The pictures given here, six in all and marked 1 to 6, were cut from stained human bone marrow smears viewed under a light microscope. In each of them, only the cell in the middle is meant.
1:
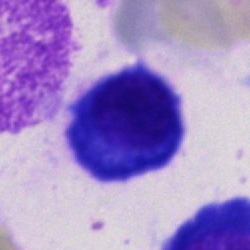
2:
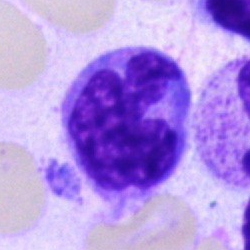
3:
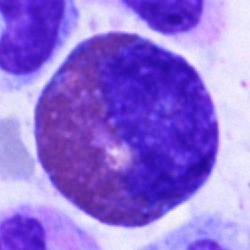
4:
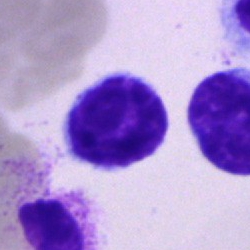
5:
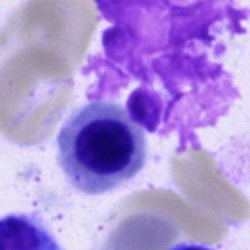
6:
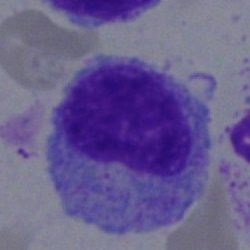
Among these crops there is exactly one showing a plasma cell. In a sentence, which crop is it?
Crop 1 represents a plasma cell, while the other crops do not.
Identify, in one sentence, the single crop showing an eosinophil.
Crop 3 is where an eosinophil is to be found.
